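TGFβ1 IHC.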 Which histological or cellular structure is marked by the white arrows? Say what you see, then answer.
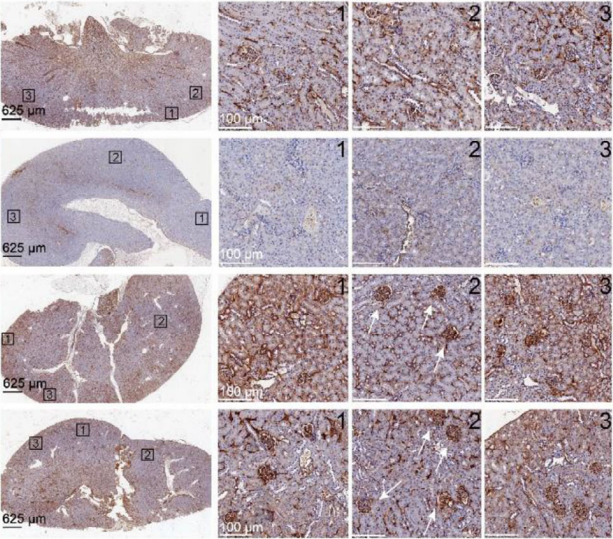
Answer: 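The arrows point to small round compact tufts lying among tubular profiles. These round tufts are strongly brown-stained and stand out from the surrounding tubules. That points to this answer: renal glomeruli.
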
